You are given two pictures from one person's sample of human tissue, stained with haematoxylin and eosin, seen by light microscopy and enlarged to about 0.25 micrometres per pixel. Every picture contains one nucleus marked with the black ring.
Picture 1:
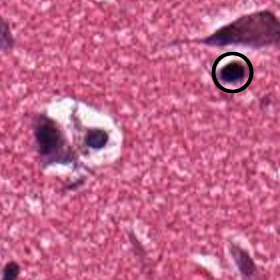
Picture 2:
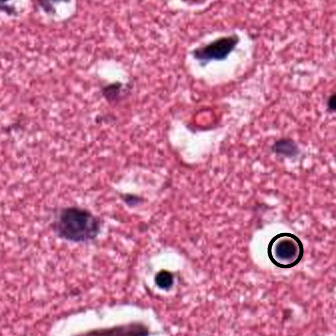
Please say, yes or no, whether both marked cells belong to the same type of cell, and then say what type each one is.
Yes, both are oligodendrocytes.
